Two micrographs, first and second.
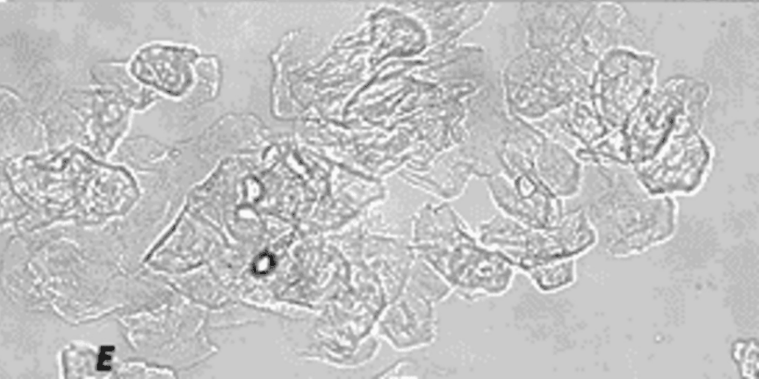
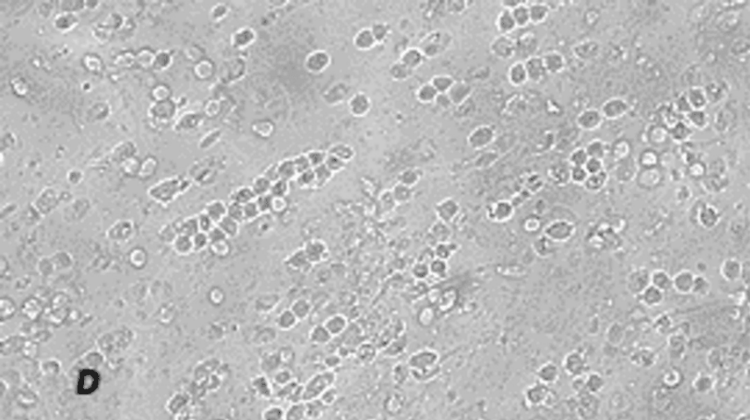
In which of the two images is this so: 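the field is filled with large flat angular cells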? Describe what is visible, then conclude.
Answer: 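First image: large flat irregular cells overlap in sheets across the field. Second image: only many small round cells are seen, in clusters and streaks.
Conclusion: the first image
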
